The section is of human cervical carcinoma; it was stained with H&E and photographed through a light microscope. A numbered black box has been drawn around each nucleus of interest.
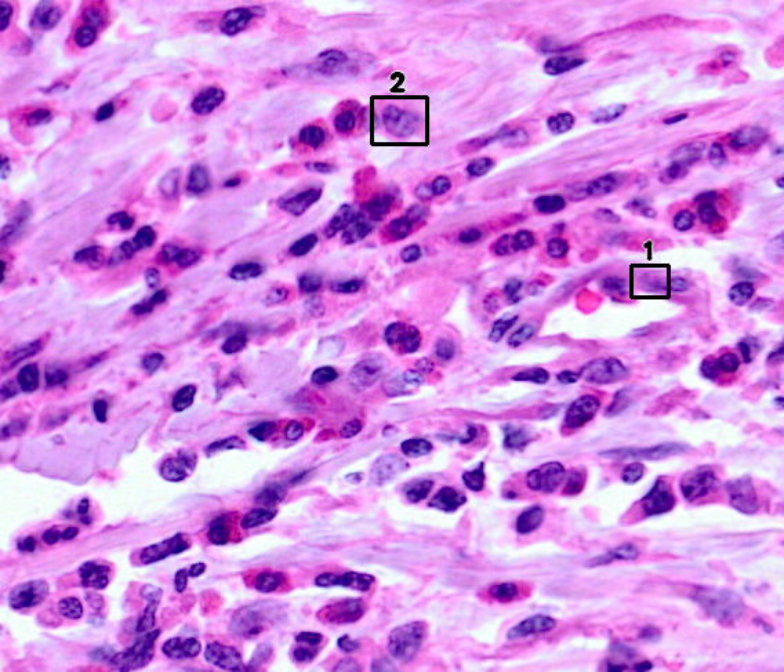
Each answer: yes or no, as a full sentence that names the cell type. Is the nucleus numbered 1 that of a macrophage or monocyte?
No, the marked cell 1 is not a macrophage or monocyte, being instead an endothelial cell.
